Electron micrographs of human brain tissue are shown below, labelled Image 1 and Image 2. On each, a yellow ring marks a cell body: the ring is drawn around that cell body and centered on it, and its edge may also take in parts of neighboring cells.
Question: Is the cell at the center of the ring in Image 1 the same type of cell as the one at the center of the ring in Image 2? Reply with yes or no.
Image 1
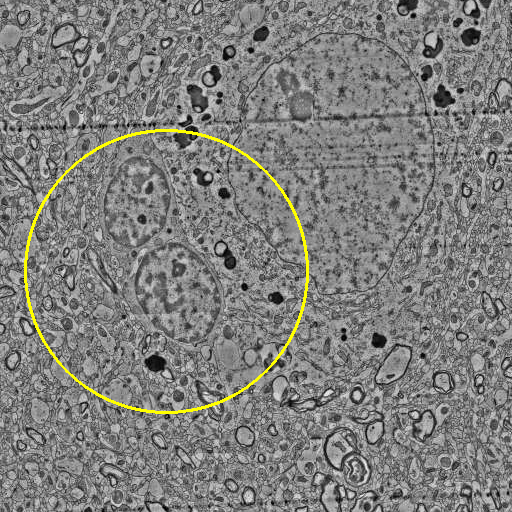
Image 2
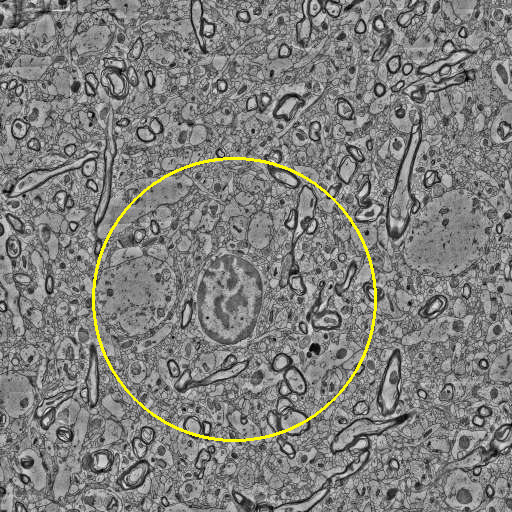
no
